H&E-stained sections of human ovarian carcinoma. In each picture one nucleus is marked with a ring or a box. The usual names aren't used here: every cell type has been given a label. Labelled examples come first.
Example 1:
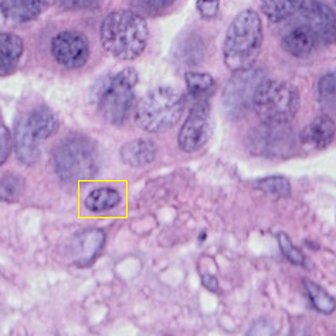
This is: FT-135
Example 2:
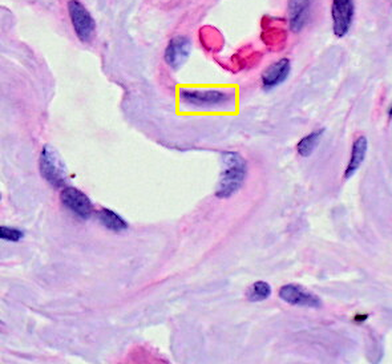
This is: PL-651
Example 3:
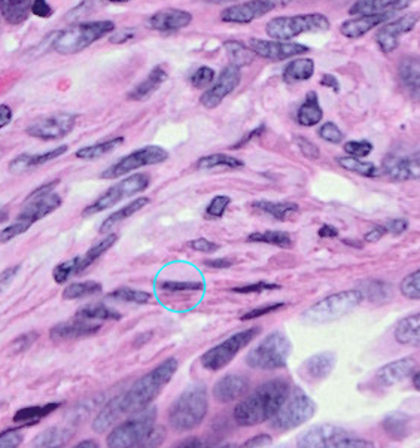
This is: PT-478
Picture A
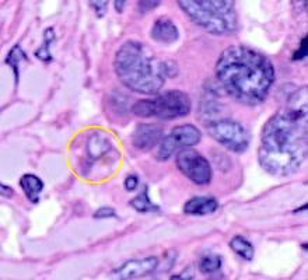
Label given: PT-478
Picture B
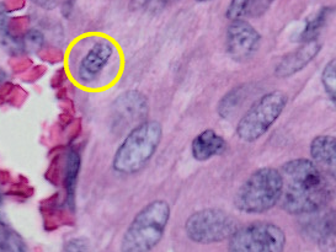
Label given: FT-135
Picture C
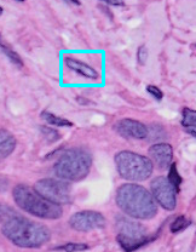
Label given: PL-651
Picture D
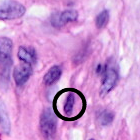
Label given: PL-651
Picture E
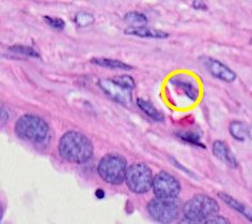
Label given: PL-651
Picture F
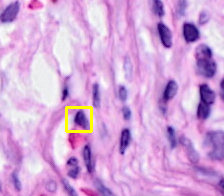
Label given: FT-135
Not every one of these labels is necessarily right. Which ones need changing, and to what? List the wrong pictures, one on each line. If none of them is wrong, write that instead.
C should be PT-478, not PL-651
F should be PL-651, not FT-135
